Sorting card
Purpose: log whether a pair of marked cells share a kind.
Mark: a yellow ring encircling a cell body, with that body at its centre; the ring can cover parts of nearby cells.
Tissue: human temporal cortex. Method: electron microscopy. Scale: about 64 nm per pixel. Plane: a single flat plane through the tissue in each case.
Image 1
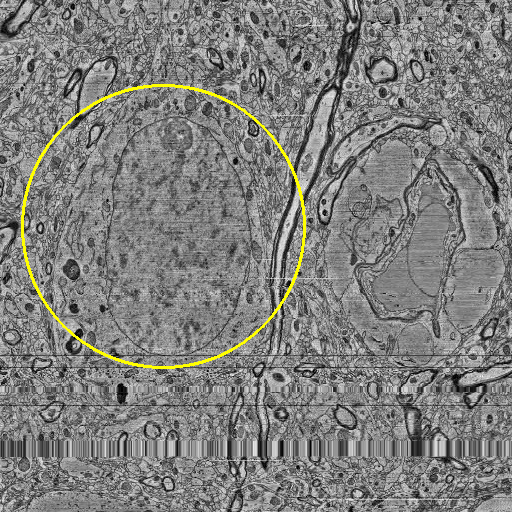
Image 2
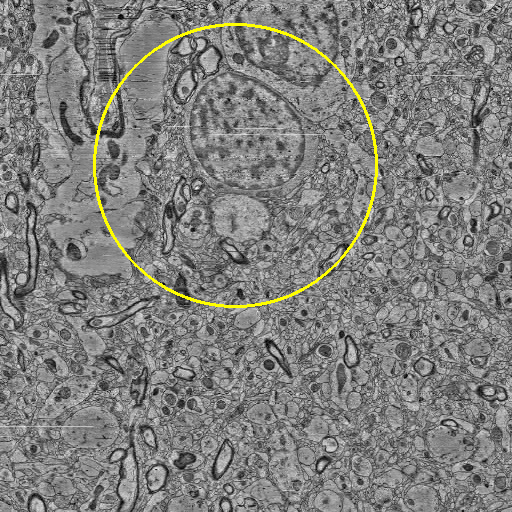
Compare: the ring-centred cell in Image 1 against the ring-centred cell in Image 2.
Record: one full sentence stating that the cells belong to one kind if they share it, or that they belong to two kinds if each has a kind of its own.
Across Images 1 and 2, the two ring-centred cells belong to two kinds.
